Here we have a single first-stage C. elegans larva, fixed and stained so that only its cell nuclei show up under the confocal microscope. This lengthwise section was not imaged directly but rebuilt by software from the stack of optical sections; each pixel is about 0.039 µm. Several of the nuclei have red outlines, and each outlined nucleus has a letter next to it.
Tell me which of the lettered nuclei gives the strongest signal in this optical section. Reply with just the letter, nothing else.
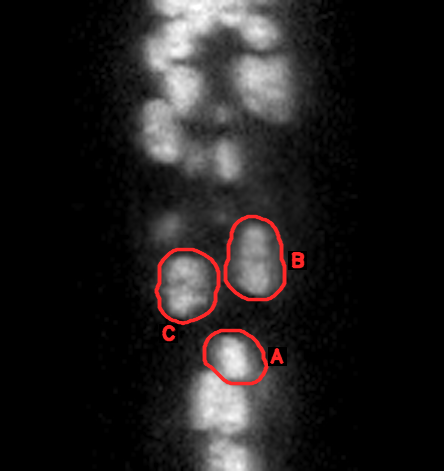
A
